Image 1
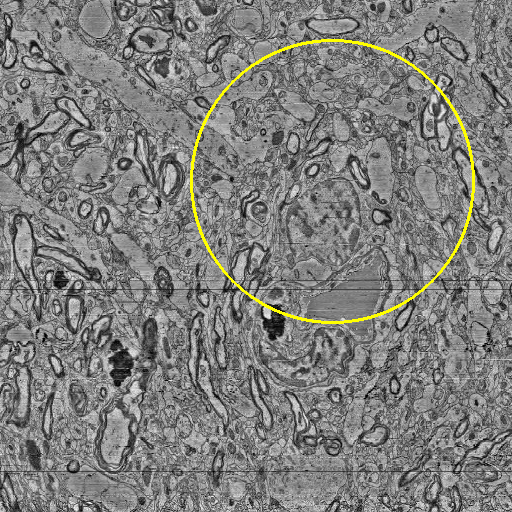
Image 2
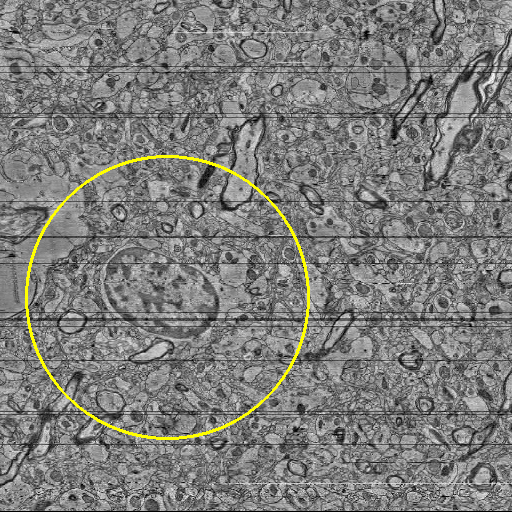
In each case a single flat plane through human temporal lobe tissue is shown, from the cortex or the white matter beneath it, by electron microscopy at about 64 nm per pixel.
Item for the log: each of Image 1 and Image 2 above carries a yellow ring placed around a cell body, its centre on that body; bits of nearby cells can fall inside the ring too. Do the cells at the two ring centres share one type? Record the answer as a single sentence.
No, the two cells at the ring centres in Image 1 and Image 2 are of two types.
